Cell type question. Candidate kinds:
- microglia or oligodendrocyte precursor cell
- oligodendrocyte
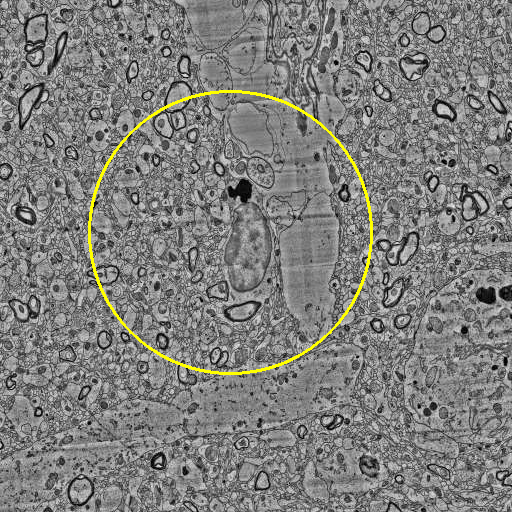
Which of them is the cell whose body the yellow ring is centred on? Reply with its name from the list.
oligodendrocyte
